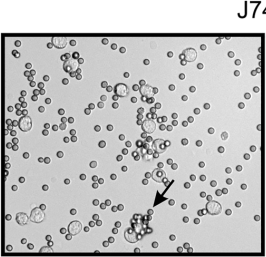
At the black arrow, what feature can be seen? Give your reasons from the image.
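Several small round cells are clustered tightly around a larger cell where the arrow points. Most other small round cells lie singly, scattered across the field.
Answer: rosettes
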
